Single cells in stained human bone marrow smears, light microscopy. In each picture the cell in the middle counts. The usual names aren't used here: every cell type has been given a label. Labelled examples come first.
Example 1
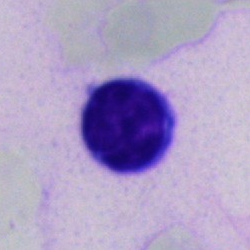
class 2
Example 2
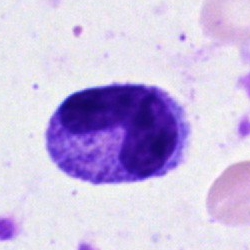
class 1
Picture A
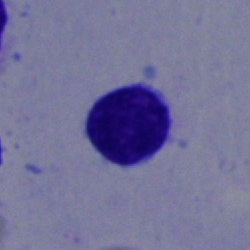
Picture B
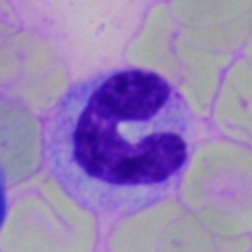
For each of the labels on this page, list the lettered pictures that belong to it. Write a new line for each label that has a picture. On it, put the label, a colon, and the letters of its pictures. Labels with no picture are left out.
class 2: A
class 1: B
